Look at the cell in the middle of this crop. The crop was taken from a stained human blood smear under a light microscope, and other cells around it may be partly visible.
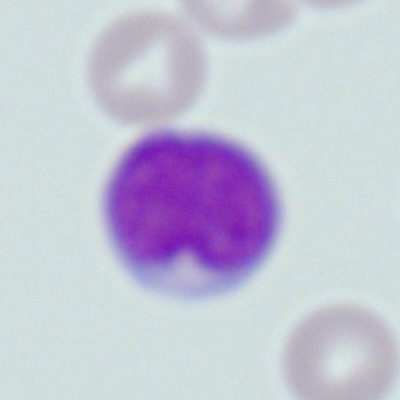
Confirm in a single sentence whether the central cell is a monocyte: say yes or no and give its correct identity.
No, a monocyte is not what the central cell is; it is a blast.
